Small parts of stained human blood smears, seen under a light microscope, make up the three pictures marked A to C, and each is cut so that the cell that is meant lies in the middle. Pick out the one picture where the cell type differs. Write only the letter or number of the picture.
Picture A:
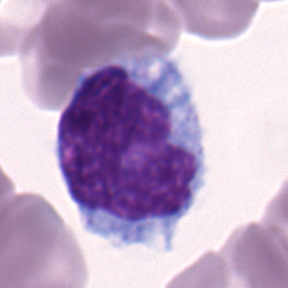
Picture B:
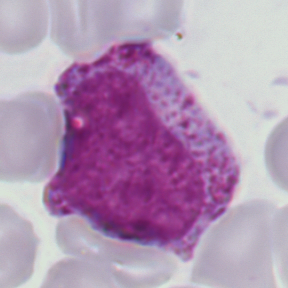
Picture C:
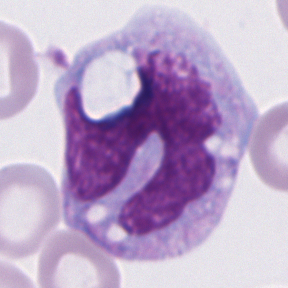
B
